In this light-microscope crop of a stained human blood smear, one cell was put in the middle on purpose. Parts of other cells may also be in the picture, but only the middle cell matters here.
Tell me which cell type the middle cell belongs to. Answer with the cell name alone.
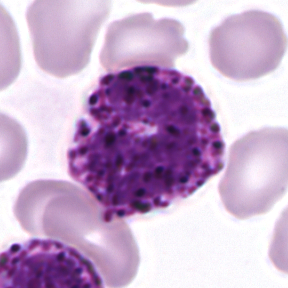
basophil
